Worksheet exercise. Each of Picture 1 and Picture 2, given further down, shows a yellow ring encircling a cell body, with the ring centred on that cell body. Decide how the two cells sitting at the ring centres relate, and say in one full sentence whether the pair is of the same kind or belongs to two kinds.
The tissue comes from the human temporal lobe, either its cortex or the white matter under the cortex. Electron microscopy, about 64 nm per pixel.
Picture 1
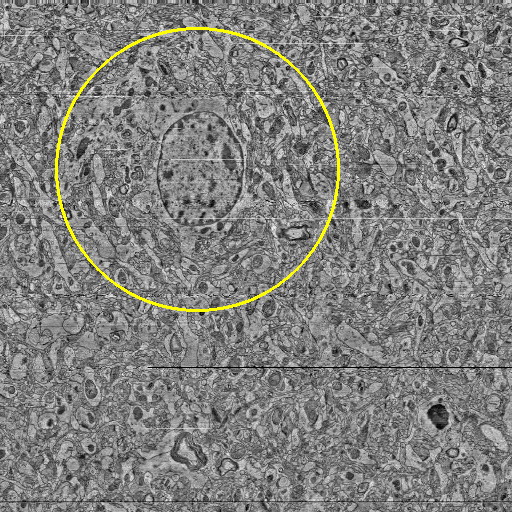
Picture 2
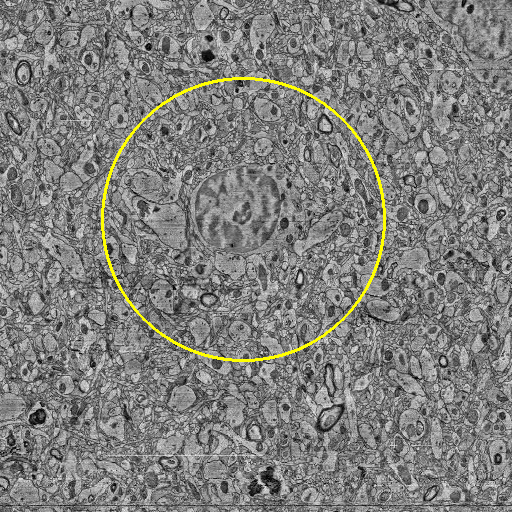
The cells at the ring centres in Picture 1 and Picture 2 belong to two kinds.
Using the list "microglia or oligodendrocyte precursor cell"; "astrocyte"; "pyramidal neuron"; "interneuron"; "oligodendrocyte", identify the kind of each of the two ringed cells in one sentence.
The first is an astrocyte and the second is an oligodendrocyte.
